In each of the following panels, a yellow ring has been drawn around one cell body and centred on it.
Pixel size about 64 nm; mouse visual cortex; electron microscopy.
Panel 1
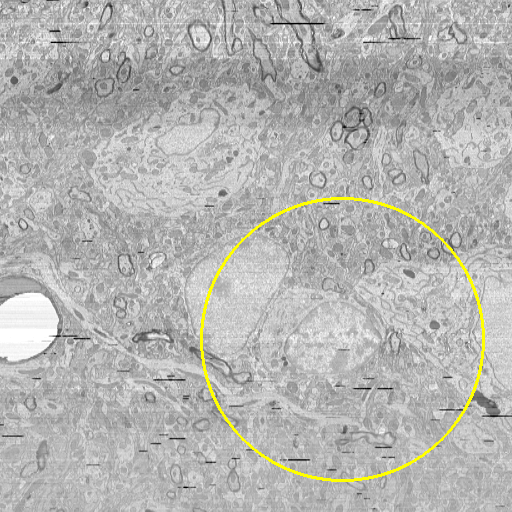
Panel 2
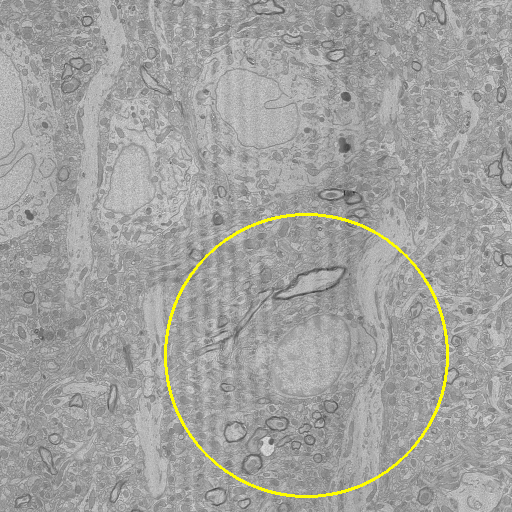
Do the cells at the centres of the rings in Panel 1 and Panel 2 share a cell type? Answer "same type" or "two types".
same type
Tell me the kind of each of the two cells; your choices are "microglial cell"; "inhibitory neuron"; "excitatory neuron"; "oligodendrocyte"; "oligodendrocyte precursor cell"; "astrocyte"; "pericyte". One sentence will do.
The second cell is an oligodendrocyte, just as the first is.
